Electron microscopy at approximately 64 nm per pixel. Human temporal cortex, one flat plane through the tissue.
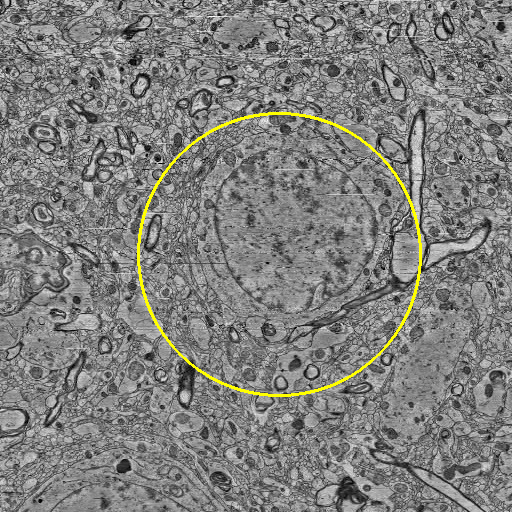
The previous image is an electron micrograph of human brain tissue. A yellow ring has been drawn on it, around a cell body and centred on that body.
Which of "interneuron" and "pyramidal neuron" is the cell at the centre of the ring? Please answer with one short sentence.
The cell body at the centre of the ring belongs to an interneuron.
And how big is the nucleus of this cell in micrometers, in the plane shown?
Approximately 11 micrometres across, in this plane.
